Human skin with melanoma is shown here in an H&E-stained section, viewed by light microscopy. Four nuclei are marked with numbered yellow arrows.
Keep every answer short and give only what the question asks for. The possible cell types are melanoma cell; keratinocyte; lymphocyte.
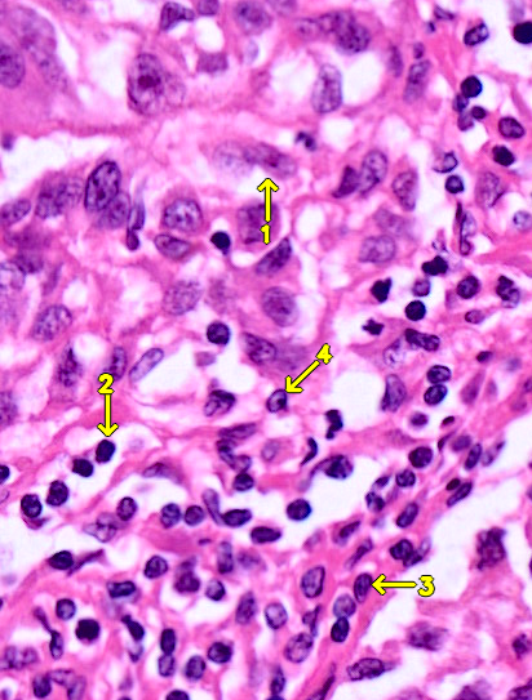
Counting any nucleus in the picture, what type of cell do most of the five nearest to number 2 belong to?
lymphocyte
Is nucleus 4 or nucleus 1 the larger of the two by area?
1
